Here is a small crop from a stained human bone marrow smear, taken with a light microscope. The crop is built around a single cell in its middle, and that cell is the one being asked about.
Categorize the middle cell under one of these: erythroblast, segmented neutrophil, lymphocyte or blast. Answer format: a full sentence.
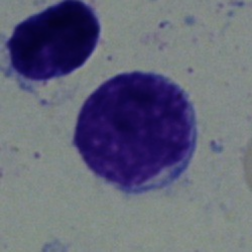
The middle position in this crop is taken by a lymphocyte.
